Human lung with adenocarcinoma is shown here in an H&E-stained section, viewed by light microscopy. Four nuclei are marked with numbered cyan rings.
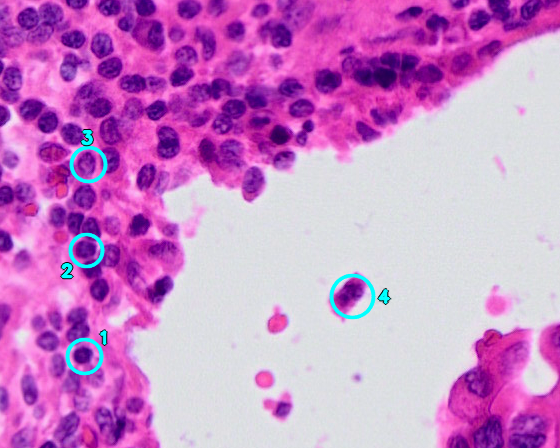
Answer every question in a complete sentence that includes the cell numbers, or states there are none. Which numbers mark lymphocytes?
In this section, the cells numbered 1, 2 and 3 are lymphocytes.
